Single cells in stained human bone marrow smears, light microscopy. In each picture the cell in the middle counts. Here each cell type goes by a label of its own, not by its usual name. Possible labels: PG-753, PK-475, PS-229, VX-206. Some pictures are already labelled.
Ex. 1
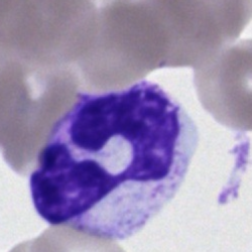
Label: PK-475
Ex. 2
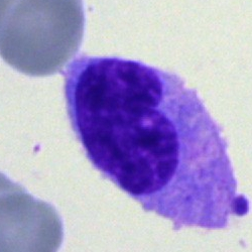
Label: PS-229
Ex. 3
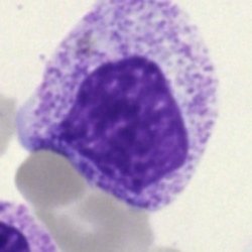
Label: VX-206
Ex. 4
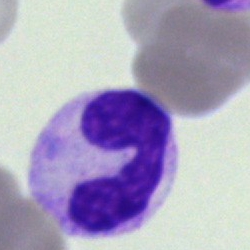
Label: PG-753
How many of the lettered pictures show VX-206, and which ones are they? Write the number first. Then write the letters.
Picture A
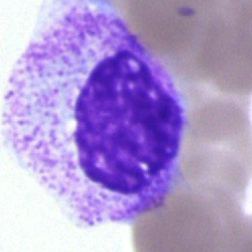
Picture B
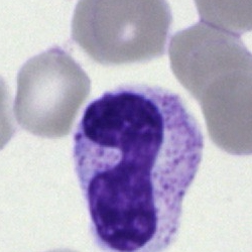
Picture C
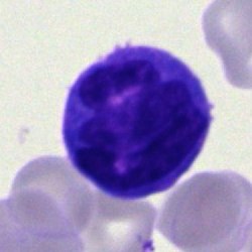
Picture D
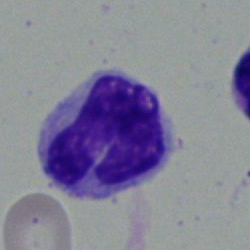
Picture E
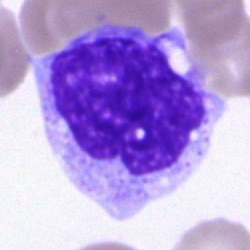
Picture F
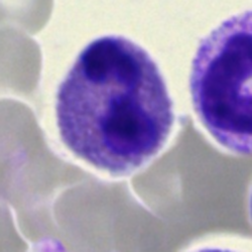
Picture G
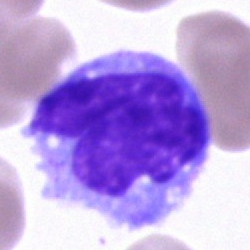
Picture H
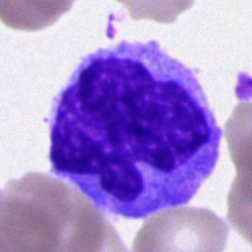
1, namely A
